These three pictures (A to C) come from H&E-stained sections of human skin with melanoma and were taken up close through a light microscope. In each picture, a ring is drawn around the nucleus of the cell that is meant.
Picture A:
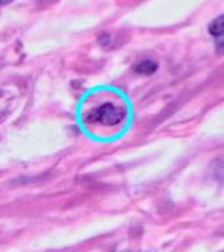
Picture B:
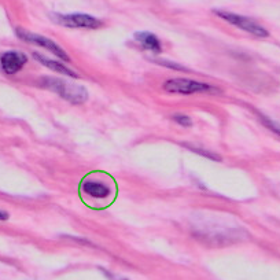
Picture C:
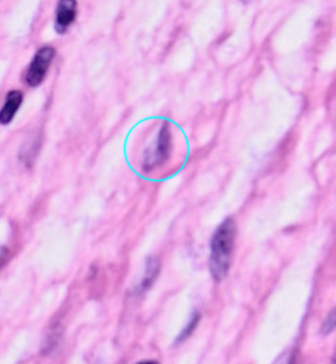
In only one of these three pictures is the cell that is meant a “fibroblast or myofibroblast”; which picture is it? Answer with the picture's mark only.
C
